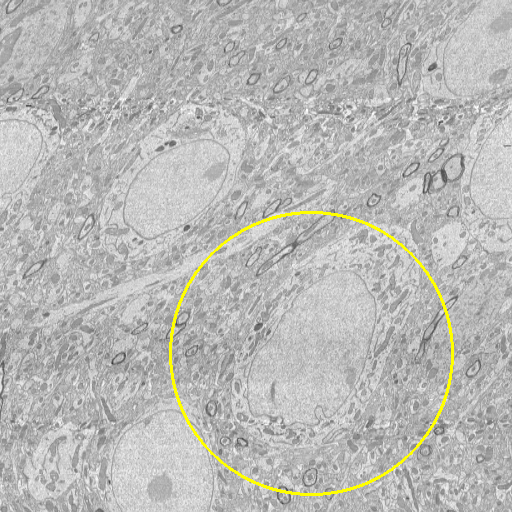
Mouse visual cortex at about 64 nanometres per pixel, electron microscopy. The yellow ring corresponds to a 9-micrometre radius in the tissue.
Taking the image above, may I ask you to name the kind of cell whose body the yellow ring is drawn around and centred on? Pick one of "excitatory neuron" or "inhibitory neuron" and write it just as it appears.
inhibitory neuron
